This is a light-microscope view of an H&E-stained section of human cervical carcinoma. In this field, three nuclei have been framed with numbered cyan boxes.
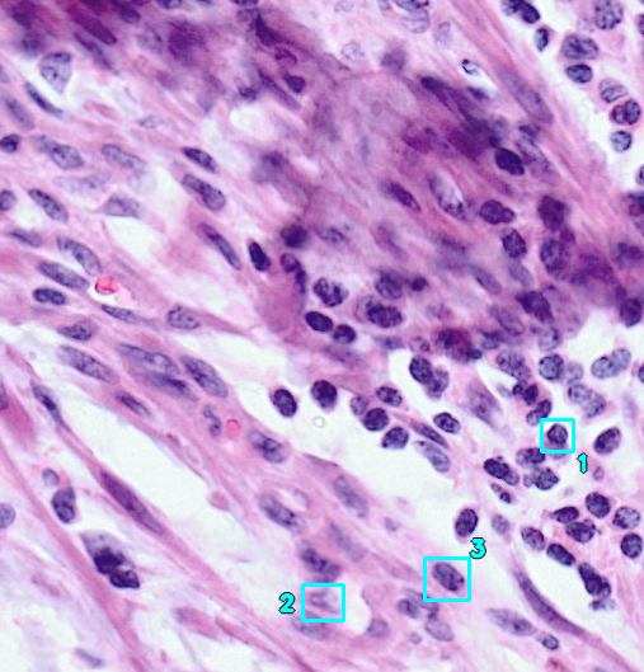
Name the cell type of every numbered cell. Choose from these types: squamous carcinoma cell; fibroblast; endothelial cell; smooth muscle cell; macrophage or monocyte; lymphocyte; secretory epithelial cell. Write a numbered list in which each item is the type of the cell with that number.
1. lymphocyte
2. endothelial cell
3. lymphocyte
